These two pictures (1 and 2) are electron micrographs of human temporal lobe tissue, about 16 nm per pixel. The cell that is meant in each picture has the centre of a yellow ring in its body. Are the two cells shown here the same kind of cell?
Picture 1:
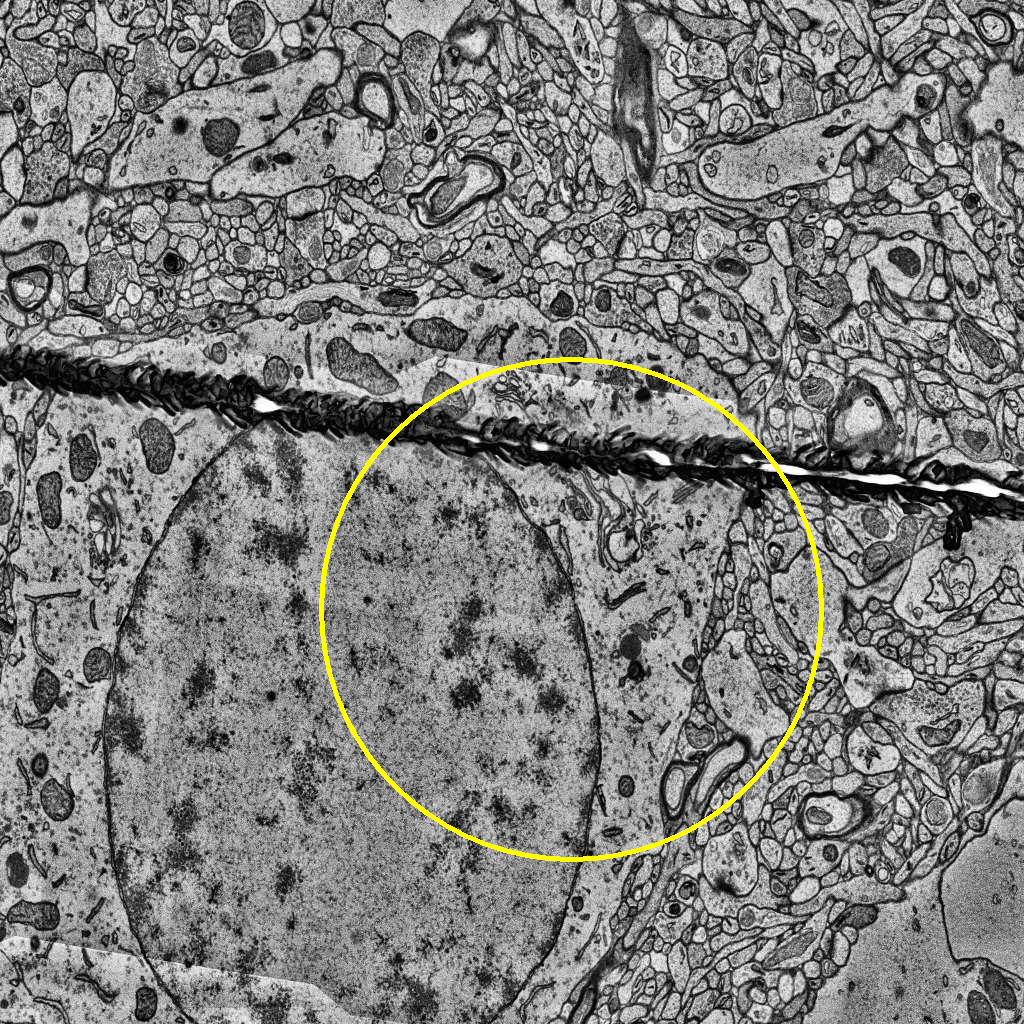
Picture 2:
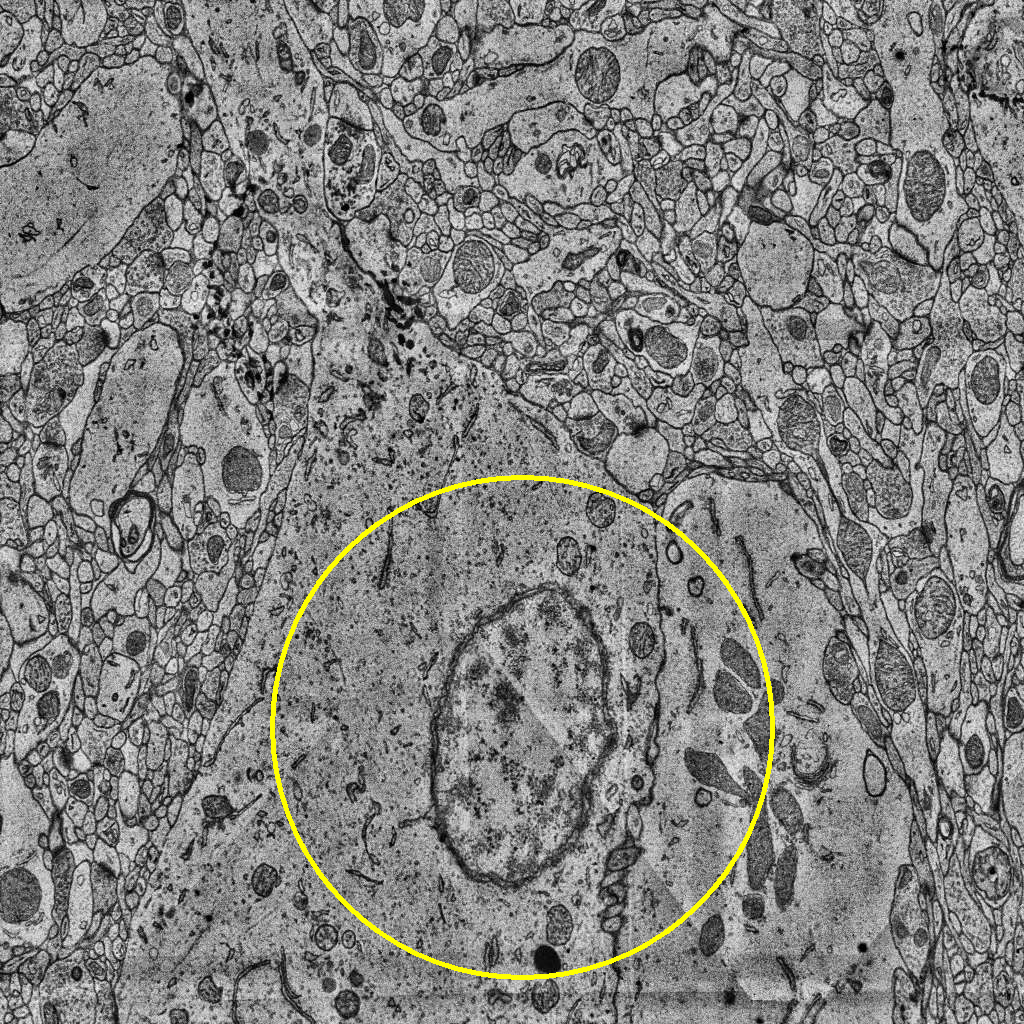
Yes, they are the same type: both are pyramidal neurons.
